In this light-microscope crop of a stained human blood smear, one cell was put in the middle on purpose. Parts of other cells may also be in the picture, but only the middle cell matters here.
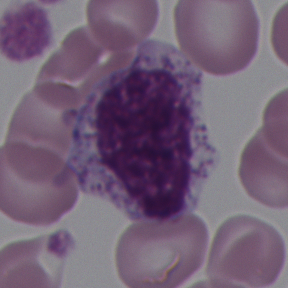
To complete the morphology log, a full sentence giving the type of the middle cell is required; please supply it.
The cell marked by its central position in the crop is a myelocyte.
